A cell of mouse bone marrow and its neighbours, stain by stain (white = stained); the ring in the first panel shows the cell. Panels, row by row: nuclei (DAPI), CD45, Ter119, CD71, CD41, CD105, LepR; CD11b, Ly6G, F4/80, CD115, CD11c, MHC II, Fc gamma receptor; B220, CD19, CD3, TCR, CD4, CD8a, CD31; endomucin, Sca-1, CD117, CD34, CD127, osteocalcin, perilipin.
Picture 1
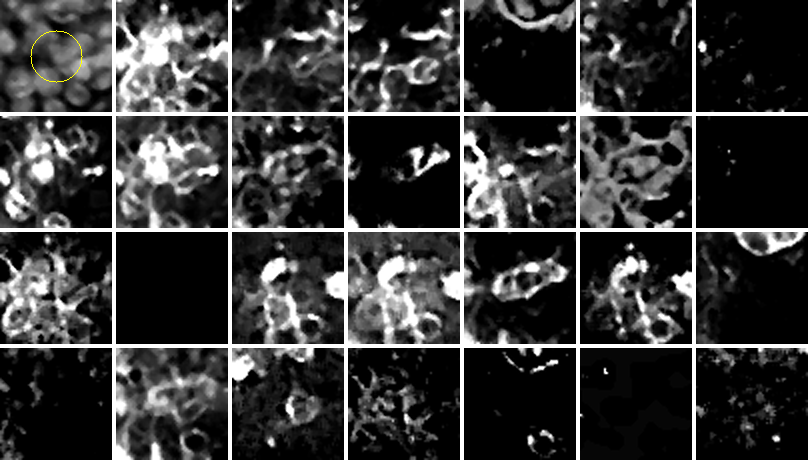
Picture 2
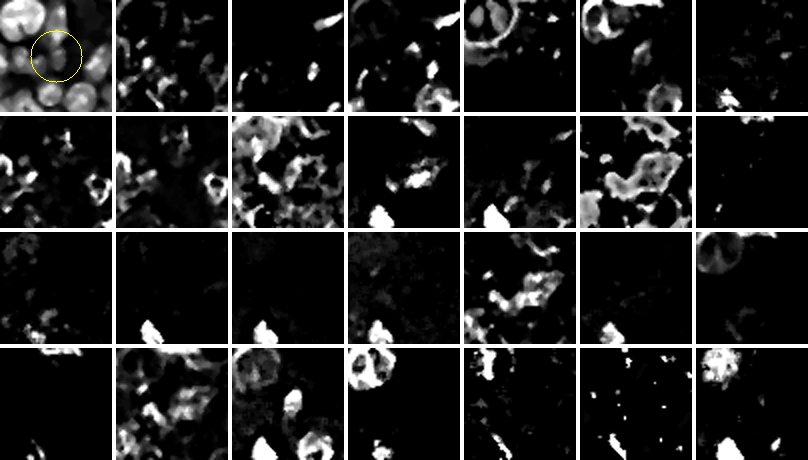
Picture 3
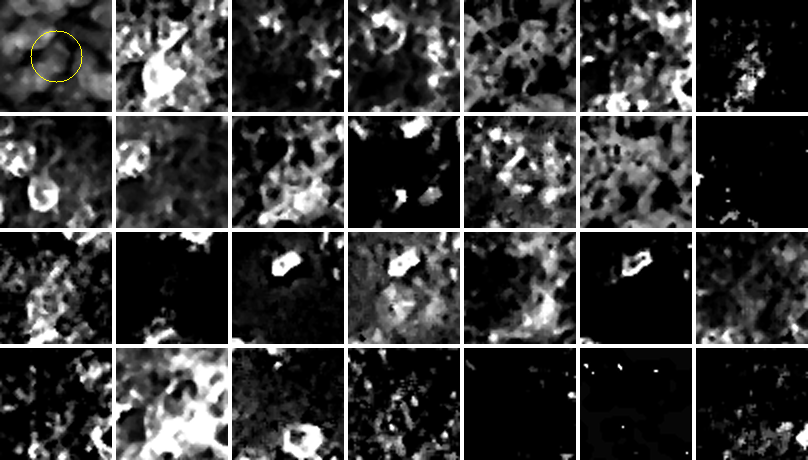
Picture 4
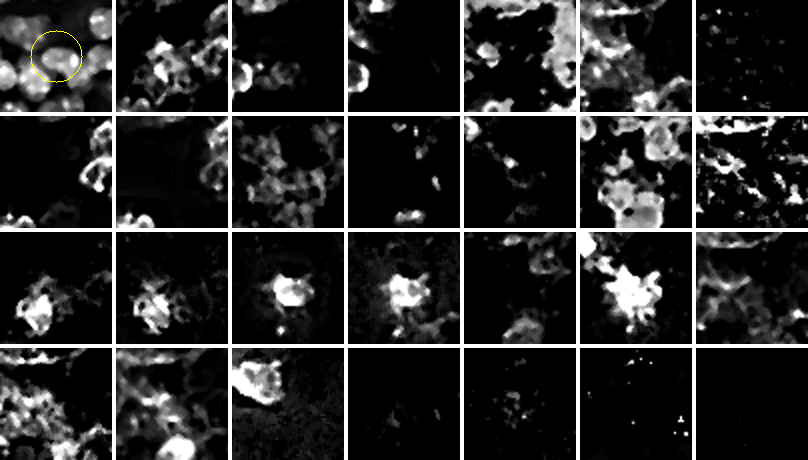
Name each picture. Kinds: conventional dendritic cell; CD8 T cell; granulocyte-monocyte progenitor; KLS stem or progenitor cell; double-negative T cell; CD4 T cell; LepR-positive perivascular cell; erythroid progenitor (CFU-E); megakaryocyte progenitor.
1: conventional dendritic cell
2: KLS stem or progenitor cell
3: conventional dendritic cell
4: CD8 T cell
